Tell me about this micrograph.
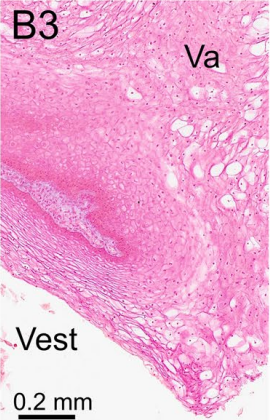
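This higher-power view shows the place where the vaginal lining meets the vaginal vestibule, both covered by a thick, many-layered epithelium stained pink. In the upper right, the epithelium of the vagina contains many pale, swollen, clear-looking cells that give it a bubbly texture. Toward the lower left the epithelium is more compact and evenly pink, and it ends at a free surface facing an empty space. Small dark nuclei are scattered throughout the epithelial layers.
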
